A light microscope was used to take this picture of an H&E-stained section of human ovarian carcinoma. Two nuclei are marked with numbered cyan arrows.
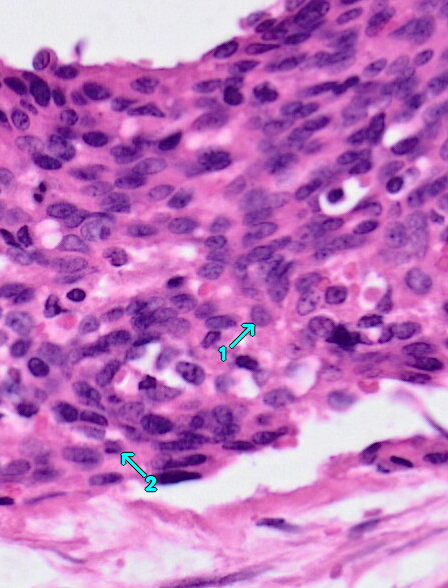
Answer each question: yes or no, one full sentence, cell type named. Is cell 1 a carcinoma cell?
Yes, that is right: the cell labelled 1 is a carcinoma cell.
